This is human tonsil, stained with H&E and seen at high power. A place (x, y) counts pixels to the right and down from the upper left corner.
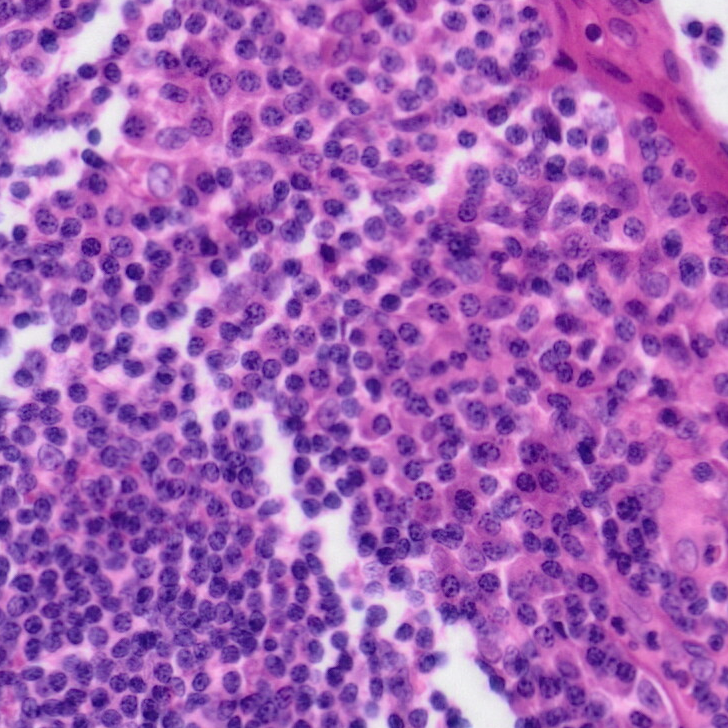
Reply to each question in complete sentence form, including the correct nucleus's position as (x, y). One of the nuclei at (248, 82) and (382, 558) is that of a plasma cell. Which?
Of these two nuclei, only the one at (248, 82) belongs to a plasma cell.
